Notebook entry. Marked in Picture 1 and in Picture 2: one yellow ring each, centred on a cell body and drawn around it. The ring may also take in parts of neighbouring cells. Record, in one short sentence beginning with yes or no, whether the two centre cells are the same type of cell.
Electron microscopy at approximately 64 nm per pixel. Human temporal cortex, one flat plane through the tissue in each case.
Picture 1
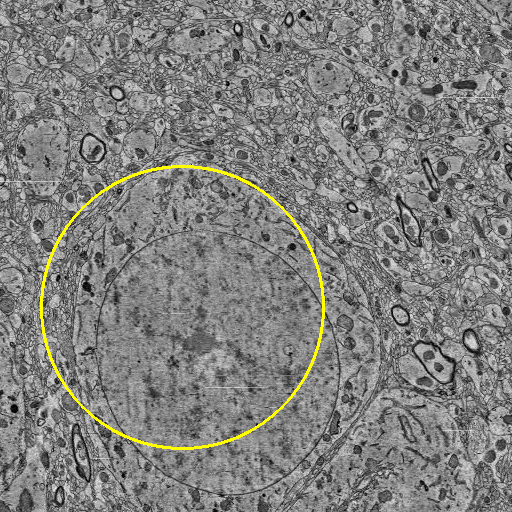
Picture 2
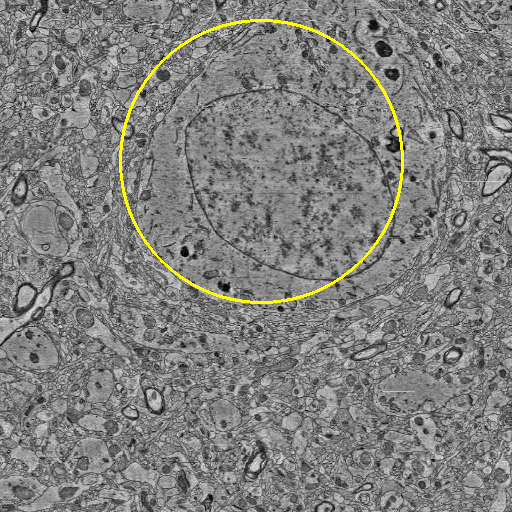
Yes, both are the same type of cell.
